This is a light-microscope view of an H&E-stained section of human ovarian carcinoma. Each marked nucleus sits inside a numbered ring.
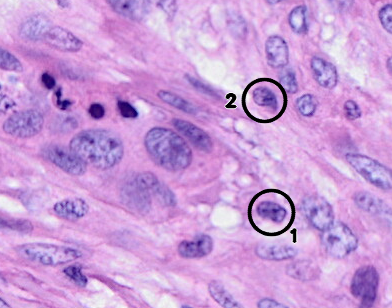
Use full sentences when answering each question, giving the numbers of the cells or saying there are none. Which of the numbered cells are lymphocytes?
Within the set of numbered cells, only number 1 is a lymphocyte.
